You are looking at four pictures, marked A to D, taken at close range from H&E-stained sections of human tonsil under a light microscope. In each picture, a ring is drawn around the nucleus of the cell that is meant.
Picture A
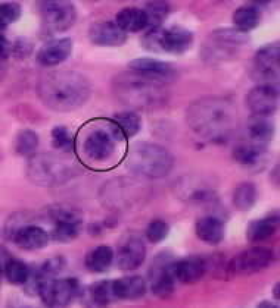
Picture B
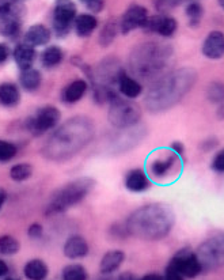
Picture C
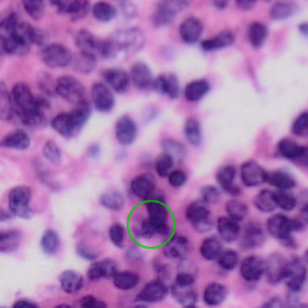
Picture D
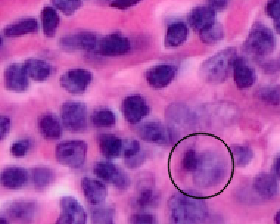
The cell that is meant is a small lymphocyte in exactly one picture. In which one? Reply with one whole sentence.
Picture C shows the small lymphocyte.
